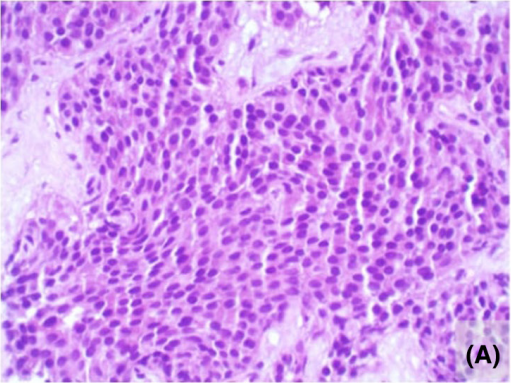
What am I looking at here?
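Neoplasm of monomorphic tumor cells arranged in cords and nests, separated by thin strands of pale pink fibrous stroma. Nuclei are round to oval, uniform and darkly purple, without conspicuous nucleoli. No obvious mitotic figures stand out.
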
